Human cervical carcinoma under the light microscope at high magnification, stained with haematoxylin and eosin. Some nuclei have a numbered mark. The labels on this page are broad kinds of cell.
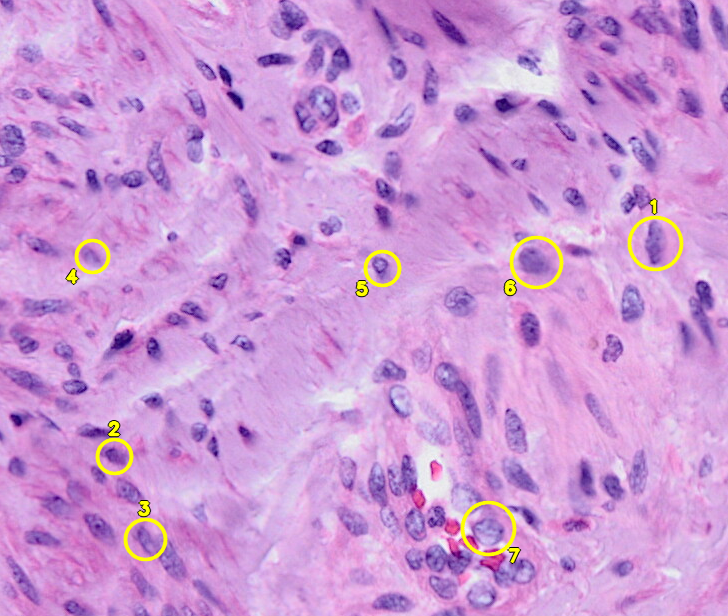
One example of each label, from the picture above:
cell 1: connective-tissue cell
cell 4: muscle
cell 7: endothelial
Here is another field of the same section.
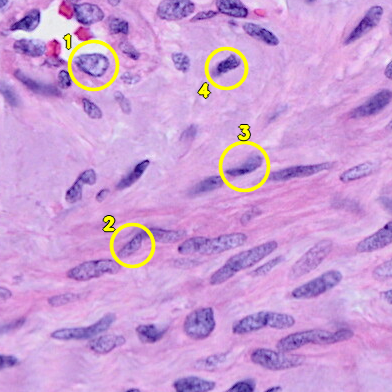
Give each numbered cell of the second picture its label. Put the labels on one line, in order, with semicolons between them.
endothelial; muscle; connective-tissue cell; connective-tissue cell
